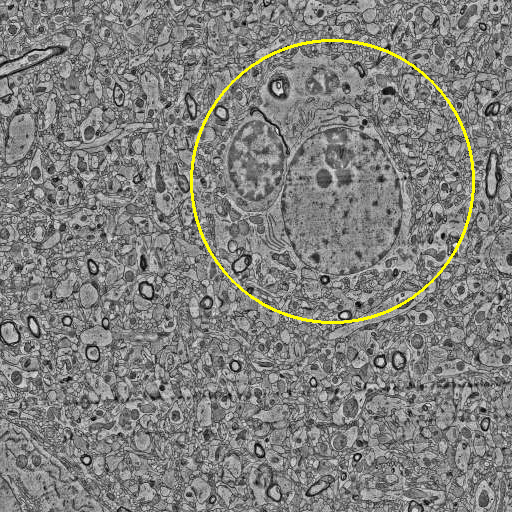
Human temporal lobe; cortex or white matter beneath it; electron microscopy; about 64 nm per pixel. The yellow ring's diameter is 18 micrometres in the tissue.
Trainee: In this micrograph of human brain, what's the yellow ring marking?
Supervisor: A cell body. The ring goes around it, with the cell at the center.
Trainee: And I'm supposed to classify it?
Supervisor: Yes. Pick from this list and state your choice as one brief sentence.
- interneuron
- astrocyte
The cell at the ring's center is an astrocyte.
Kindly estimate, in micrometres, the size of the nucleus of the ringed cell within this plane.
Approximately 10 x 8 micrometres in this plane.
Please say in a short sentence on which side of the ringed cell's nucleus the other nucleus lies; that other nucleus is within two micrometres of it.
That other nucleus appears to the upper left of it.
